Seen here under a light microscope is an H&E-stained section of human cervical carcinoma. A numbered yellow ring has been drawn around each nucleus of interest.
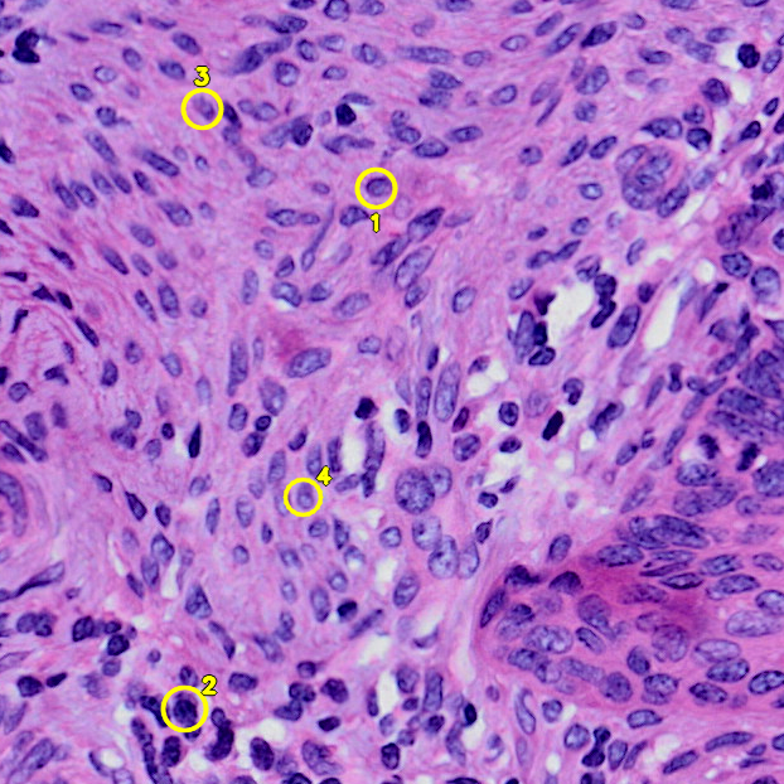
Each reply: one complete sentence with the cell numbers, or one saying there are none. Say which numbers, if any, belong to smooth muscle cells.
The cells numbered 1, 3 and 4 are identified as smooth muscle cells.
